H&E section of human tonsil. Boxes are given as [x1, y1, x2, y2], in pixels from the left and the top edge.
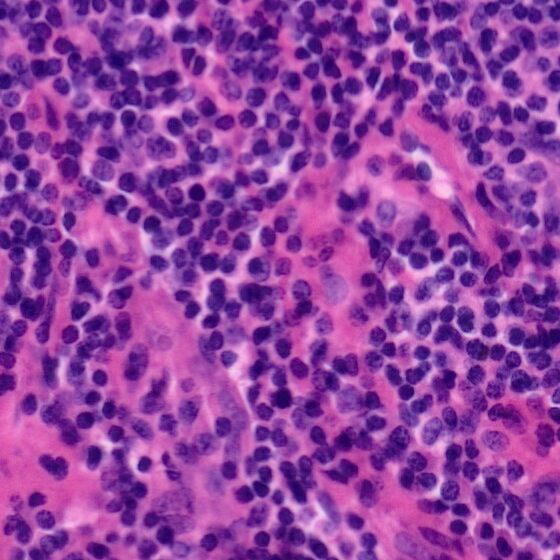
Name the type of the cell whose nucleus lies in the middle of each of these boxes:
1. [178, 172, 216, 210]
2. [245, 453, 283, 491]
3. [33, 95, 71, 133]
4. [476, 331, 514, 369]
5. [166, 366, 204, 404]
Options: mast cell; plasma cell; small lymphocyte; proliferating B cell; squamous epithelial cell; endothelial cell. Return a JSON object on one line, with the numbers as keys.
{"1": "small lymphocyte", "2": "small lymphocyte", "3": "endothelial cell", "4": "small lymphocyte", "5": "endothelial cell"}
